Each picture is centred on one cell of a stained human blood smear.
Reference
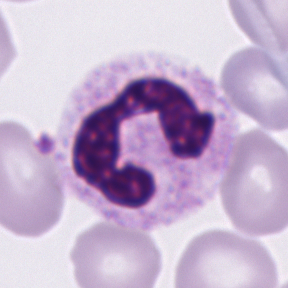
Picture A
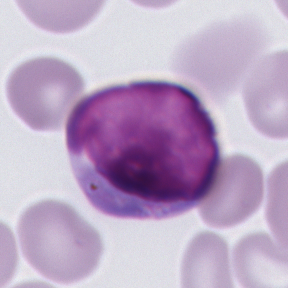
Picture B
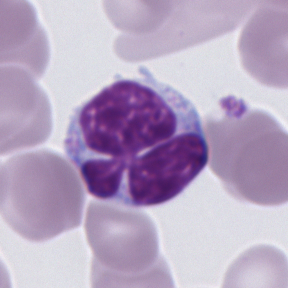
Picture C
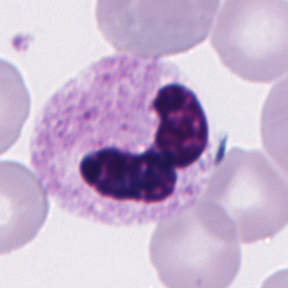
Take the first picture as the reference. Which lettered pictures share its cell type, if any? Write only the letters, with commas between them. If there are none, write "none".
C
